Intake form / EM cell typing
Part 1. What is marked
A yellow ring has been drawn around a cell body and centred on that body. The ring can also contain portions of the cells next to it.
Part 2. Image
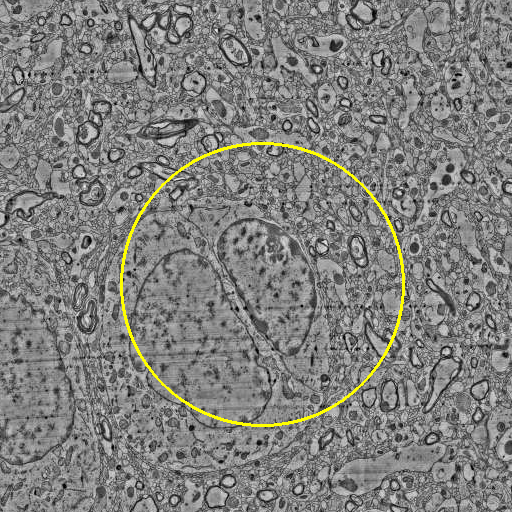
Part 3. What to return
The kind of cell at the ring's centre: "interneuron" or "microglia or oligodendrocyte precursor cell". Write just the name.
microglia or oligodendrocyte precursor cell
